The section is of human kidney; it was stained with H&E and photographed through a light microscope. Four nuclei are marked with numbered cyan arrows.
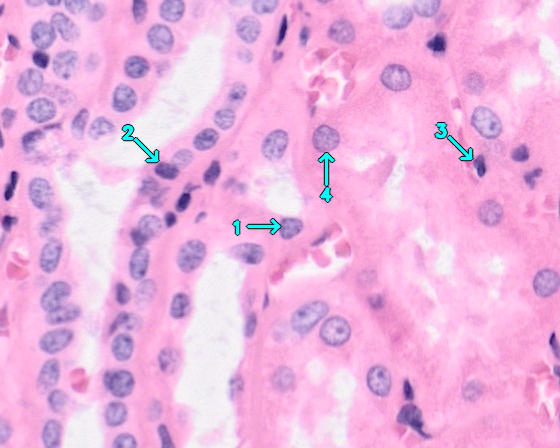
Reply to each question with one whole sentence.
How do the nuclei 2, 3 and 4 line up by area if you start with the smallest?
Smallest first, the nuclei run 3, 2, 4.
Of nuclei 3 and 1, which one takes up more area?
Of the two, number 1 is bigger and takes up about 2 times the area of number 3.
